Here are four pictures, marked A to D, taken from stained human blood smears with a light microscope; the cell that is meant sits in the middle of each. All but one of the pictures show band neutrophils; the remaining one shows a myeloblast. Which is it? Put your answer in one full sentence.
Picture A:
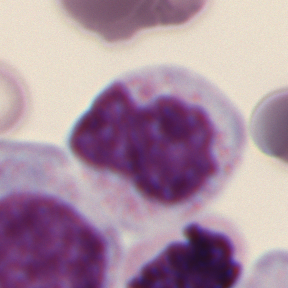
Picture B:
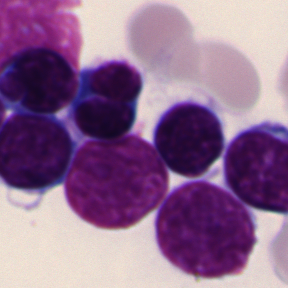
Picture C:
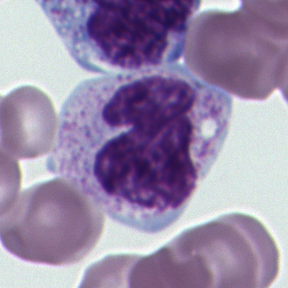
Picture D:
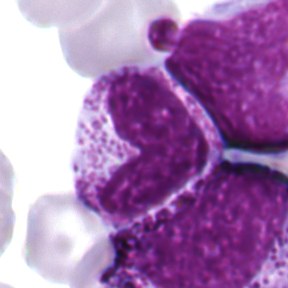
The picture with the myeloblast is B.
